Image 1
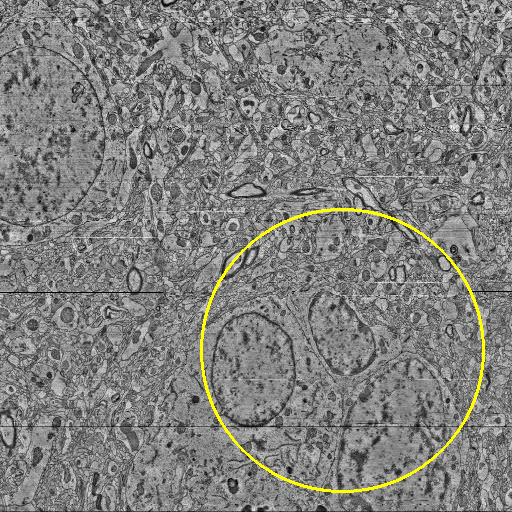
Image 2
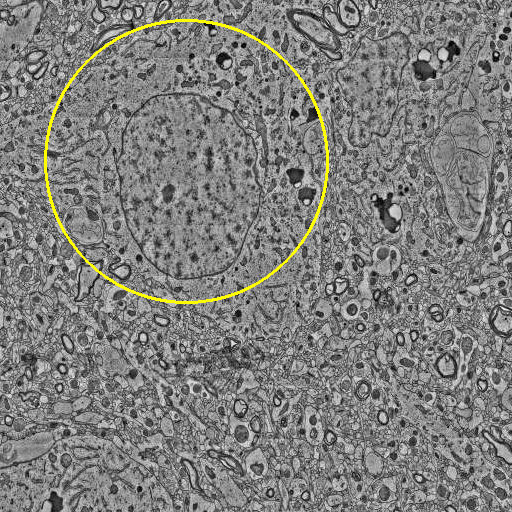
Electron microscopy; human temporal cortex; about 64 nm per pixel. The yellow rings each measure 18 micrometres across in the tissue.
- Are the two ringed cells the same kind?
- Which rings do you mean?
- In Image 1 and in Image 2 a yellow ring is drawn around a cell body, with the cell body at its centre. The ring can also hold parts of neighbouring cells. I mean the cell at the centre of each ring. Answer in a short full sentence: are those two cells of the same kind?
No, the cells are of two kinds.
